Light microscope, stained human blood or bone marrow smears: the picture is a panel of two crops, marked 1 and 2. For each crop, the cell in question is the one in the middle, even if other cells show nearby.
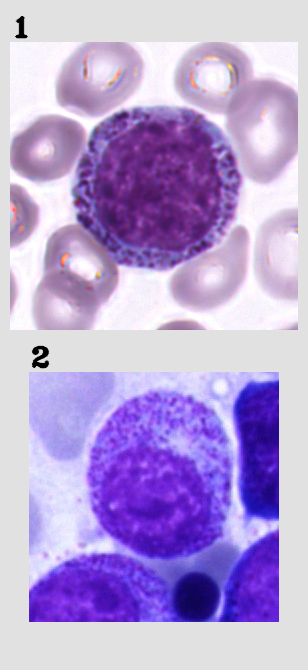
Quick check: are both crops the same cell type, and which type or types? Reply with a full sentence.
No, in crop 2 the central cell is a myelocyte, and in crop 1 it is a promyelocyte.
